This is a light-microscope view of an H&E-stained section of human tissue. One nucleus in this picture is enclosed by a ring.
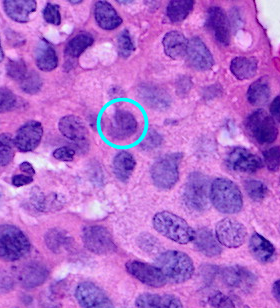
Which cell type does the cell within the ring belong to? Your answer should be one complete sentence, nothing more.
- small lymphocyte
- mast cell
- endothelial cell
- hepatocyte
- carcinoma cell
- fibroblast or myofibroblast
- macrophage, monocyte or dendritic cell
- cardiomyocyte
In this tissue sample, the cell within the ring is a carcinoma cell.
